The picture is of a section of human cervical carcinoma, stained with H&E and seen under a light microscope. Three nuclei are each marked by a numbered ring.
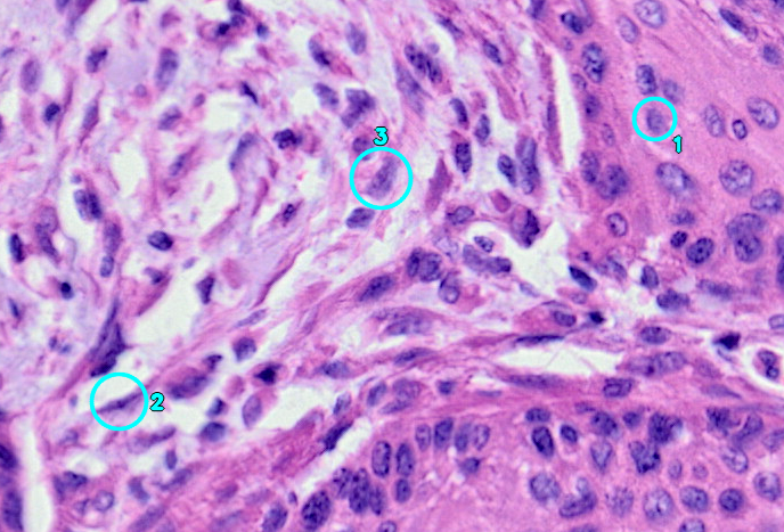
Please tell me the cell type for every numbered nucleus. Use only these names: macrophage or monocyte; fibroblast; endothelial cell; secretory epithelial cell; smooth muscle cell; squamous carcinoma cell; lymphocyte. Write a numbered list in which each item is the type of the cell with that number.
1. squamous carcinoma cell
2. fibroblast
3. fibroblast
